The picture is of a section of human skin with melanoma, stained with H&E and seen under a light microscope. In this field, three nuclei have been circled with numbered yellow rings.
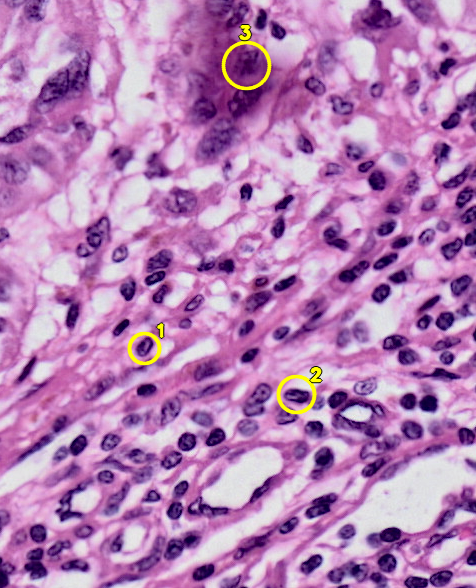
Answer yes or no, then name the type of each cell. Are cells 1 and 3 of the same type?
No, cell 1 is a lymphocyte and cell 3 is a melanoma cell.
